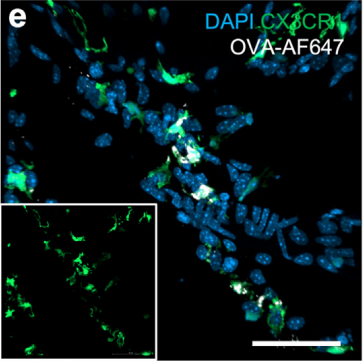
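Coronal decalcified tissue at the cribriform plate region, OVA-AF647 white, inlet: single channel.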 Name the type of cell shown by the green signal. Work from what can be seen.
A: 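White puncta lie within or on several green cells.
Answer: phagocytes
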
